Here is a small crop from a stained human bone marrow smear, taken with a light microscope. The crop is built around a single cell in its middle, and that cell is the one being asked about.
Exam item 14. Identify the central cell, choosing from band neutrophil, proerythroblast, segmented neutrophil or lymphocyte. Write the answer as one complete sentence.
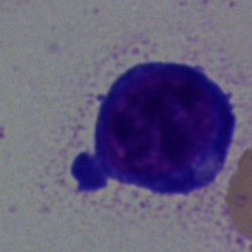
The cell at the central position in this crop is a proerythroblast.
